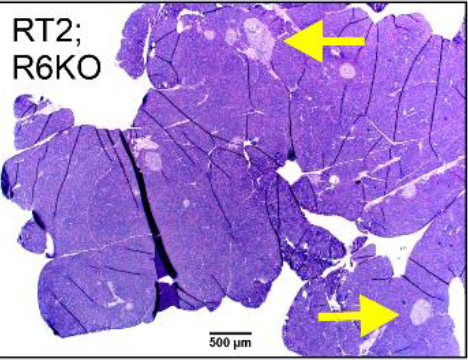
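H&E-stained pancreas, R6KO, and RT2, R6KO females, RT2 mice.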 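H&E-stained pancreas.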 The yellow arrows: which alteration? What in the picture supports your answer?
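Transformed islets. The arrows point to rounded pale patches within the purple tissue. The marked patches are somewhat larger than the other small pale spots.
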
